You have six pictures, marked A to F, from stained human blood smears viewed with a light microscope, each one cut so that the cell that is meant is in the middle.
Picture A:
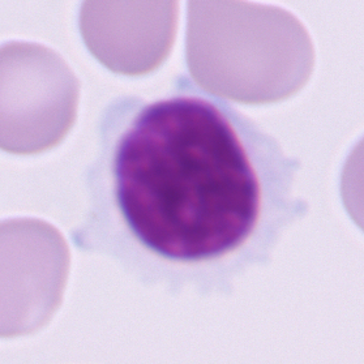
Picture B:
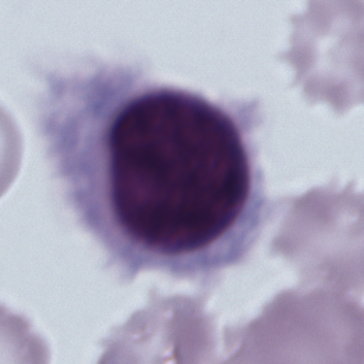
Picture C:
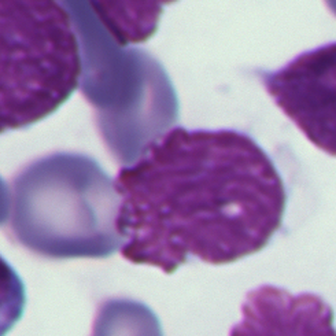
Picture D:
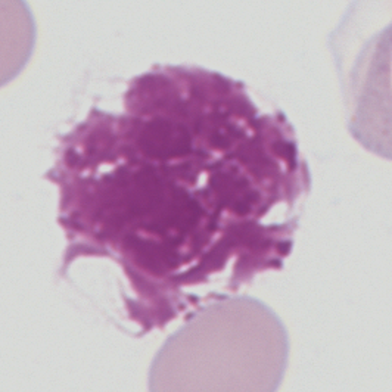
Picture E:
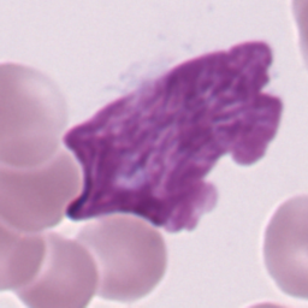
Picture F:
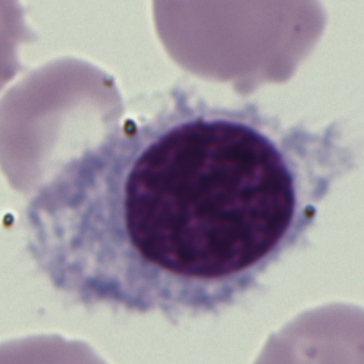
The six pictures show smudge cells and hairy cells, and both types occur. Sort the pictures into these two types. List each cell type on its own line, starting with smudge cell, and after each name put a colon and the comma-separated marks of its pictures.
smudge cell: C, D, E
hairy cell: A, B, F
